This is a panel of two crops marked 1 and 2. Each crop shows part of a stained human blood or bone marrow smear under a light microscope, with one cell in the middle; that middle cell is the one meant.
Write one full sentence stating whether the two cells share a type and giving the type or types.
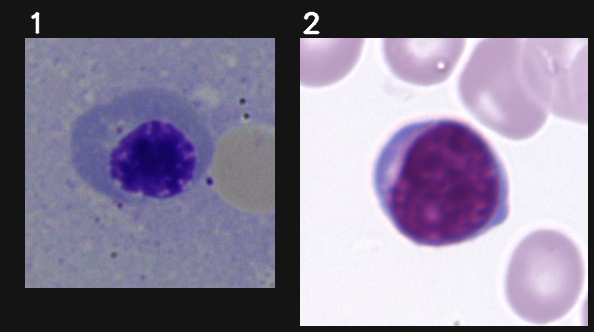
No, an erythroblast is shown in crop 1 and a lymphocyte in crop 2.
